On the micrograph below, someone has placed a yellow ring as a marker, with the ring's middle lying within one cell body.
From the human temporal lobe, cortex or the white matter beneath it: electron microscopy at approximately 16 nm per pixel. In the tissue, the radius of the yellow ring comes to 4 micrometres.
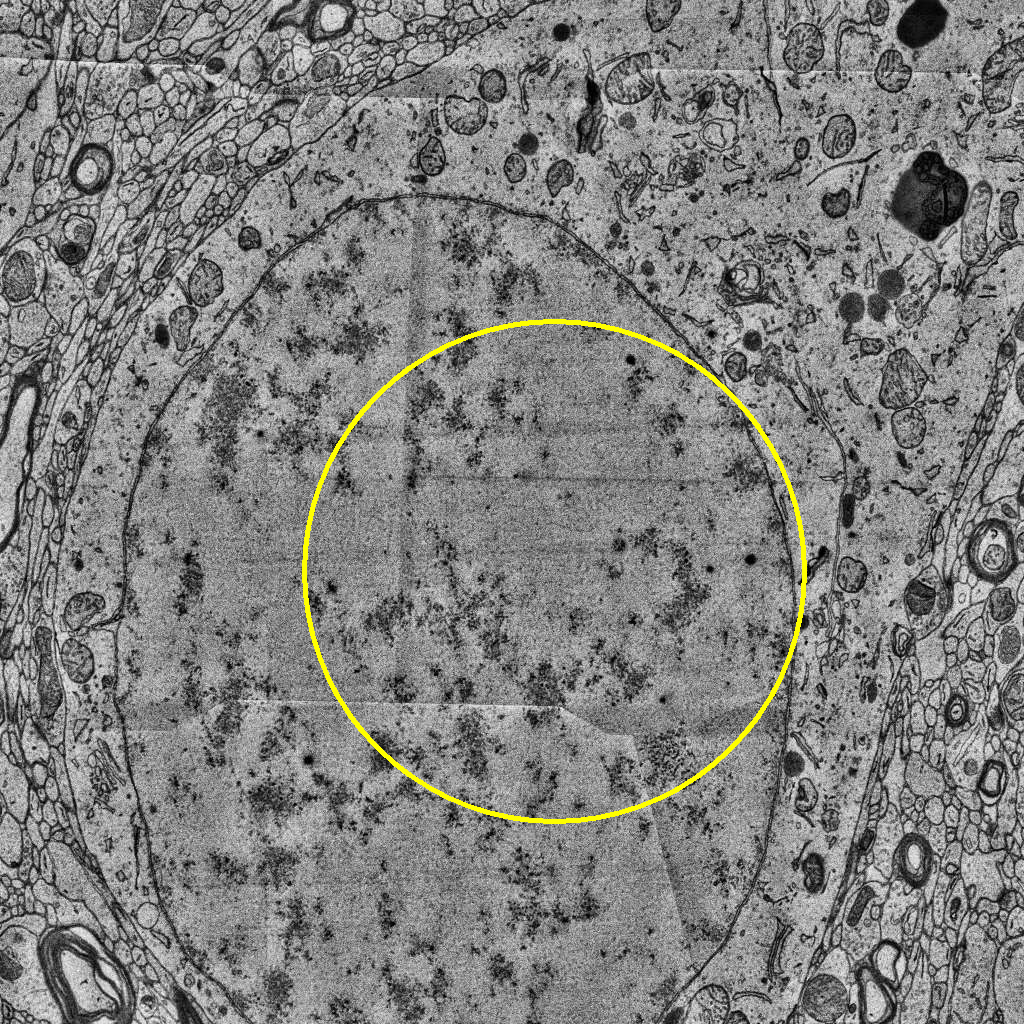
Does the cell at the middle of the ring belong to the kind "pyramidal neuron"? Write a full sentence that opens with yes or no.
Yes, the cell at the ring's middle on the micrograph is that kind.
